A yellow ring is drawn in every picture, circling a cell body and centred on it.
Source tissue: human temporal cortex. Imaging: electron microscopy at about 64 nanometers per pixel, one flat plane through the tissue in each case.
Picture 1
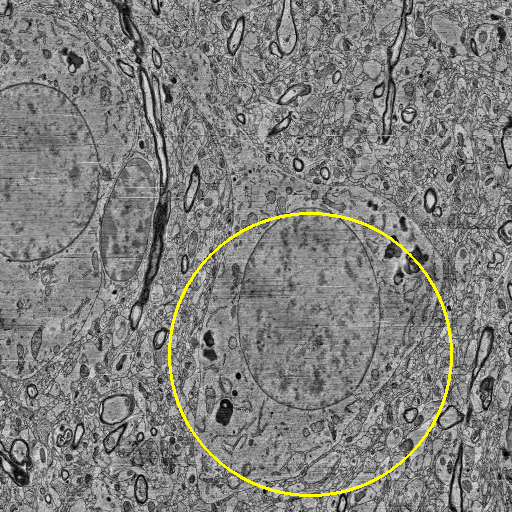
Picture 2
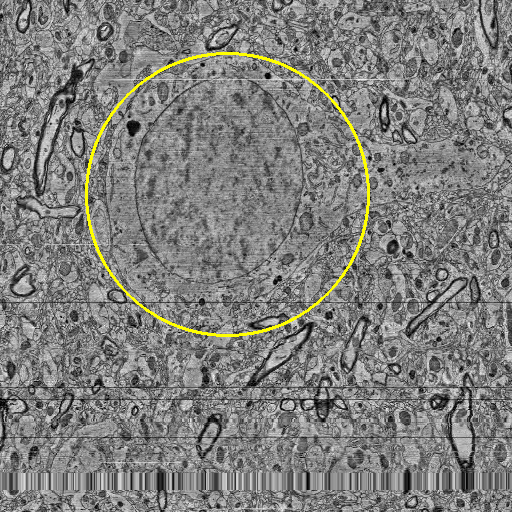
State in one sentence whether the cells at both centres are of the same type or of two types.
The cells at the two ring centres, one per picture, are of the same type.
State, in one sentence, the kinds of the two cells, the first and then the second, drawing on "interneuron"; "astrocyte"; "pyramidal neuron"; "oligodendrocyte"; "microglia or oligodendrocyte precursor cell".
Each of the ringed cells, first and second, is a pyramidal neuron.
